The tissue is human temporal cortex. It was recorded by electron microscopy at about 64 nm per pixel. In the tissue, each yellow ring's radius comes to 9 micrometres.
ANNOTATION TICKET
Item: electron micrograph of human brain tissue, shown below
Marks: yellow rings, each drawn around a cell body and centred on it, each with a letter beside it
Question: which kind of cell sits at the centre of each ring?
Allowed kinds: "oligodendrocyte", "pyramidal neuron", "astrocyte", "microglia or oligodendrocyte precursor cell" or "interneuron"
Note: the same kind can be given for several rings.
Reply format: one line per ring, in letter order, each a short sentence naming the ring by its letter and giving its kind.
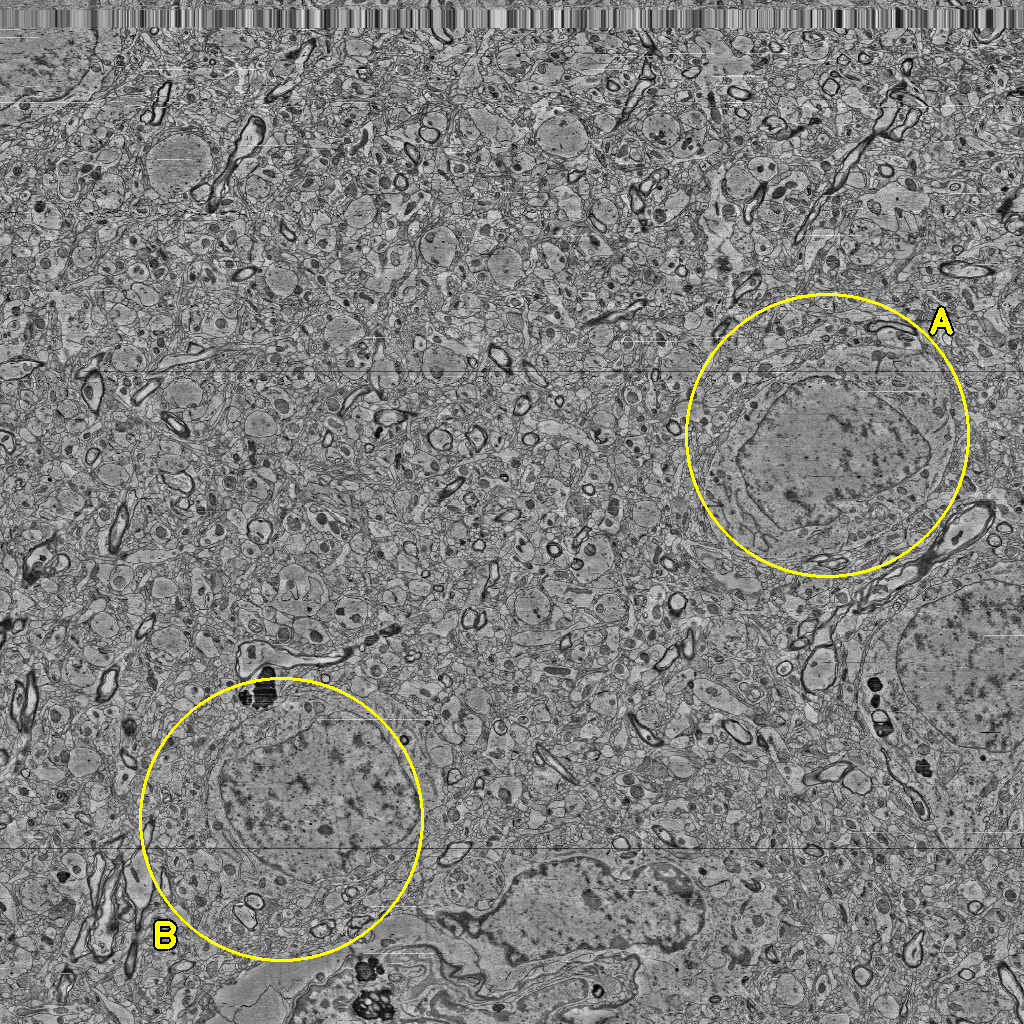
The cell at the centre of ring A is a pyramidal neuron.
The cell at the centre of ring B is an interneuron.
